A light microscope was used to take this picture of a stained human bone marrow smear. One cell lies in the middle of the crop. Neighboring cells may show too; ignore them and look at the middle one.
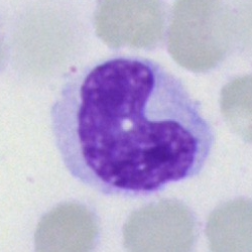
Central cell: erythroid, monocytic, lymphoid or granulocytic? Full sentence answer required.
The cell in the middle belongs to the granulocytic lineage.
